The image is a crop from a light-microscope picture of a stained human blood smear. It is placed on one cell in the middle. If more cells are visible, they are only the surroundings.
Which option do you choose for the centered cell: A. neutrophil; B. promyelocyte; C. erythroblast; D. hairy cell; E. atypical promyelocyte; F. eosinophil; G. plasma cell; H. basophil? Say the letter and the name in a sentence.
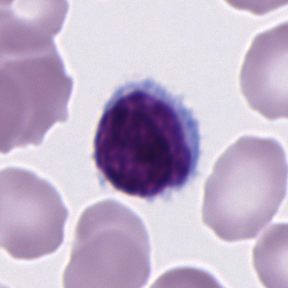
The cell in the middle is correctly identified as a hairy cell in option D.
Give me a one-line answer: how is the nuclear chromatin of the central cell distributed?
Heads up, the chromatin in this one is coarsely clumped.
